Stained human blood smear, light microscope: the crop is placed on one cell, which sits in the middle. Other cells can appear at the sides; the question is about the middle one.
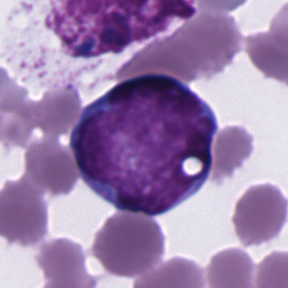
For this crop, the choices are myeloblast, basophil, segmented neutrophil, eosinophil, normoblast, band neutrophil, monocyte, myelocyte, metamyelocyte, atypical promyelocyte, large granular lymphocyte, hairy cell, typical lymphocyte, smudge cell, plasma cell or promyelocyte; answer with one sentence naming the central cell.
The cell marked by its central position in the crop is a myeloblast.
